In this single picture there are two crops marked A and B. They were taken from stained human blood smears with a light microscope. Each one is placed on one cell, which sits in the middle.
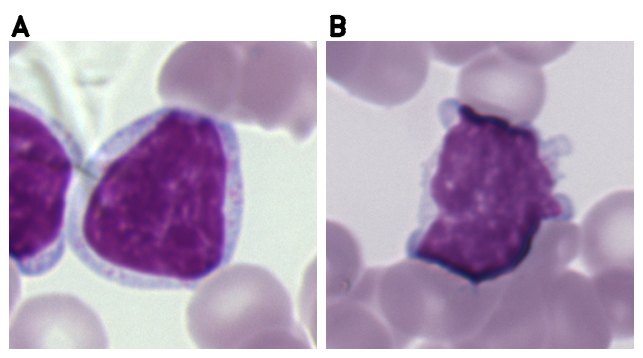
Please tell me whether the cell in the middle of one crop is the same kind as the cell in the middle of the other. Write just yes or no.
yes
